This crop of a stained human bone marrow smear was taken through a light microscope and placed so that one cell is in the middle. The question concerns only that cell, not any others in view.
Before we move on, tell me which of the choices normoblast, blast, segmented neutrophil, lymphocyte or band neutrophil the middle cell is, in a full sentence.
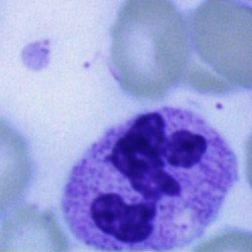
The cell under consideration, at the middle of the crop, is a segmented neutrophil.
